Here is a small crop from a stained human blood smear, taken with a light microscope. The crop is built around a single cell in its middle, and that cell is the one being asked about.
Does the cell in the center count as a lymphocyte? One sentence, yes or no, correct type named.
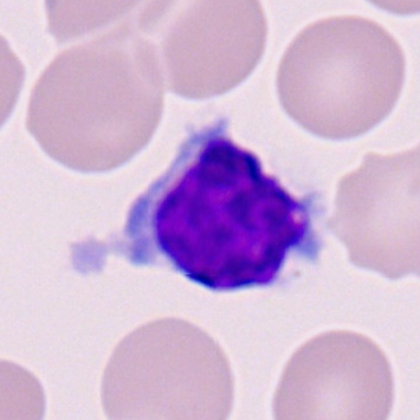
Yes, the cell placed centrally within the crop is a lymphocyte.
